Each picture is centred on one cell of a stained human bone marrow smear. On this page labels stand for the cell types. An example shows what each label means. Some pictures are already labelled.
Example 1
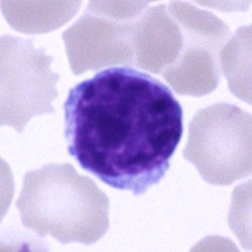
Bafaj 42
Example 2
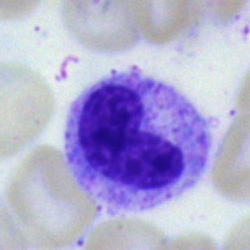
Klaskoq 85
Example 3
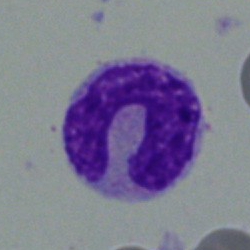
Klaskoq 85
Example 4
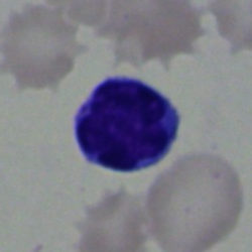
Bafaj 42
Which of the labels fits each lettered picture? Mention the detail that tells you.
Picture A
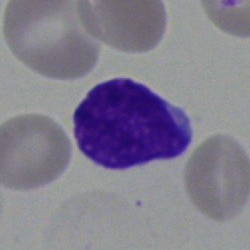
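Answer: Bafaj 42. The nucleus fills almost the whole cell.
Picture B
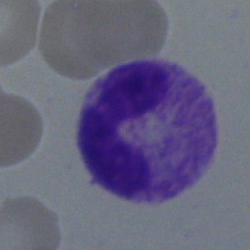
Answer: Klaskoq 85. The nucleus is curved into a C shape that opens towards the right.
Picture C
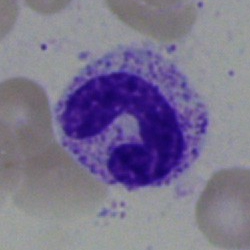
Answer: Klaskoq 85. The nucleus is a single thick curved band bent into a C shape.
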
